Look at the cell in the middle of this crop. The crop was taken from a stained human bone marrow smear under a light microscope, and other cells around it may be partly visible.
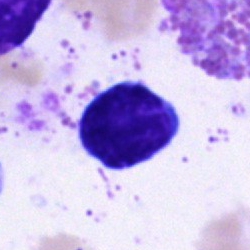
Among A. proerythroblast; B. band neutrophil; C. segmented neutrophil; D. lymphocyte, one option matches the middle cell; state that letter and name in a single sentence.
The middle cell of the crop is a lymphocyte; accordingly, option D is correct.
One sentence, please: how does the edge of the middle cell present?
Thanks for asking; the cell edge is smooth and has no projections.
